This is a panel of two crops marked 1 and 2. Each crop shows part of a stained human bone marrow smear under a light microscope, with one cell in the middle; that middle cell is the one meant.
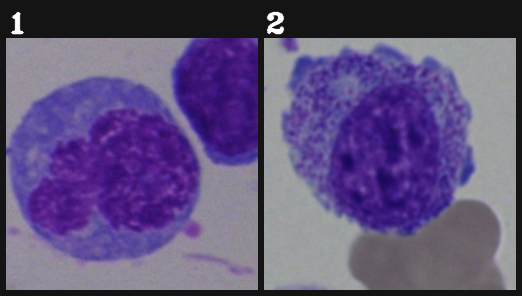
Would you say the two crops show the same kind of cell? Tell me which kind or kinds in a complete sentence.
No, the correct reading is a monocyte in crop 1 and a myelocyte in crop 2.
